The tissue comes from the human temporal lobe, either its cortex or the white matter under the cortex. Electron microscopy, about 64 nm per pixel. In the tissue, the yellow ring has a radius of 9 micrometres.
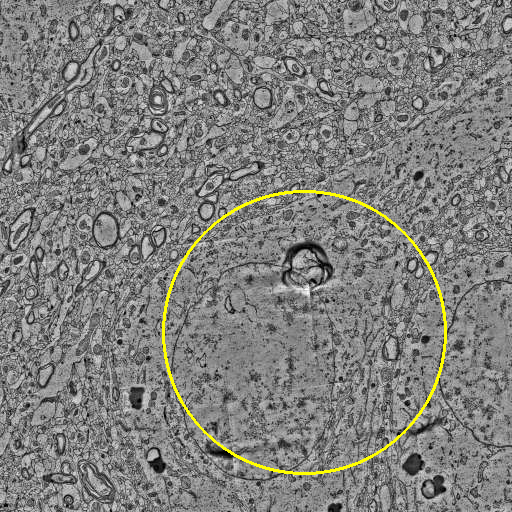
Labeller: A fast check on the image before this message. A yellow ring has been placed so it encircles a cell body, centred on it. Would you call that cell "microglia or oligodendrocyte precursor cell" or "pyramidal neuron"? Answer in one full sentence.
In this image, a pyramidal neuron is the cell on which the yellow ring is centred.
